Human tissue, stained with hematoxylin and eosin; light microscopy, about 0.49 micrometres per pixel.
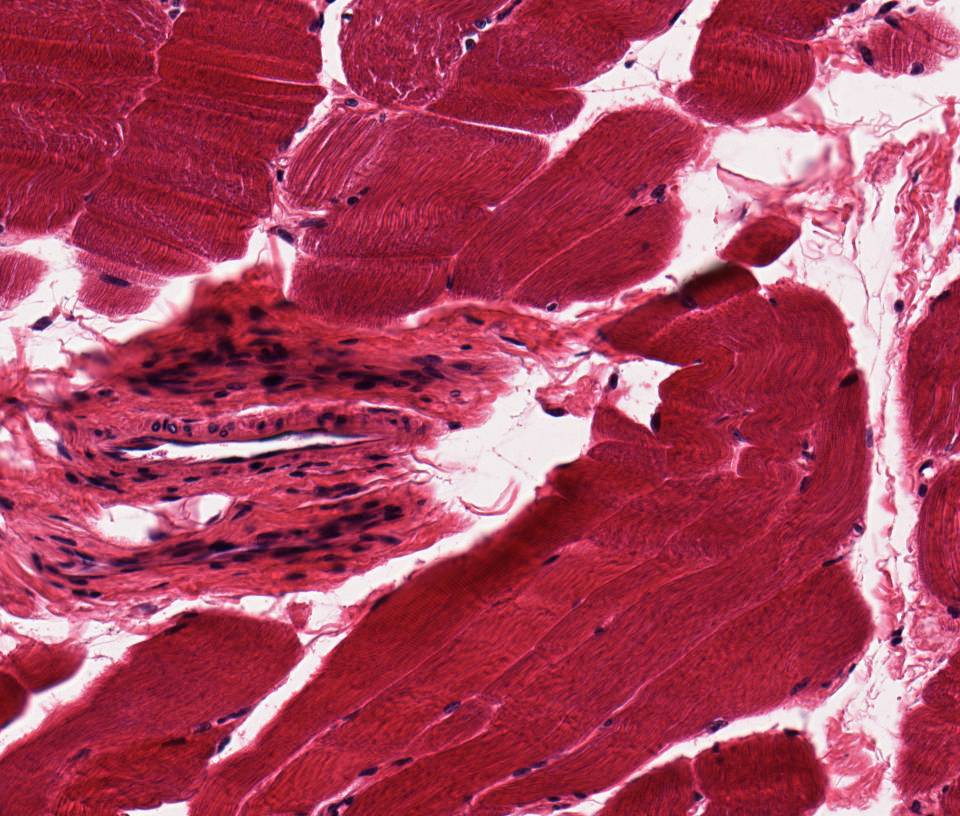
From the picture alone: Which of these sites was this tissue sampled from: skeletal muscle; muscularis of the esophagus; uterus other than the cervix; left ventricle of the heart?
skeletal muscle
